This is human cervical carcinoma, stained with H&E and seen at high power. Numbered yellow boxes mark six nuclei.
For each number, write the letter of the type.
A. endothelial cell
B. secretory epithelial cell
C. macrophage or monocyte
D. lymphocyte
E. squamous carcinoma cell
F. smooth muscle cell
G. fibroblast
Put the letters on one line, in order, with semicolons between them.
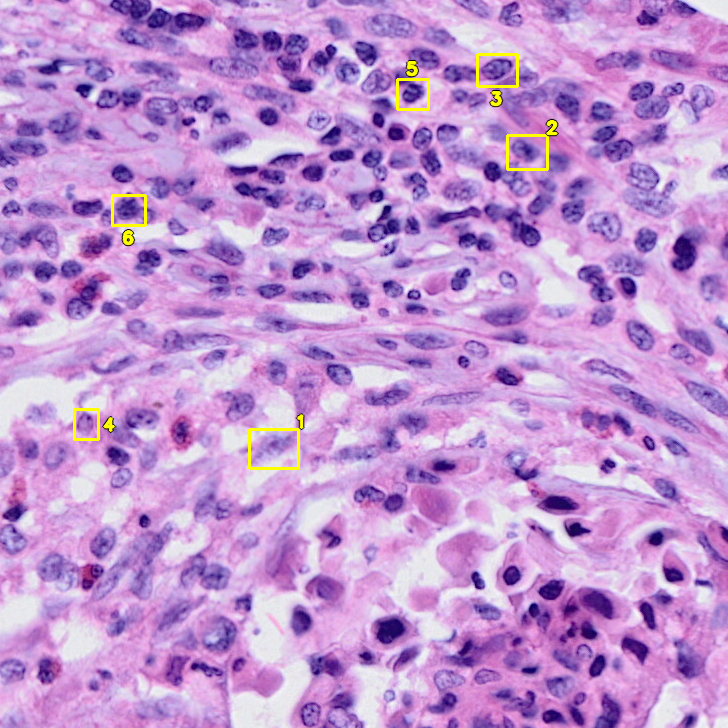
G; D; D; C; D; D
